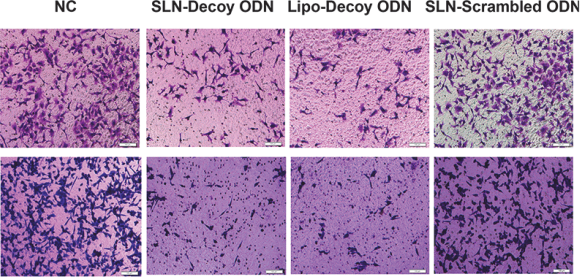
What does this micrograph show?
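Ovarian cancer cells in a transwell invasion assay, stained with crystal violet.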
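The cells are irregular and spread, many with short processes. The density of stained cells differs markedly between images, from crowded fields to sparse scattered cells.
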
